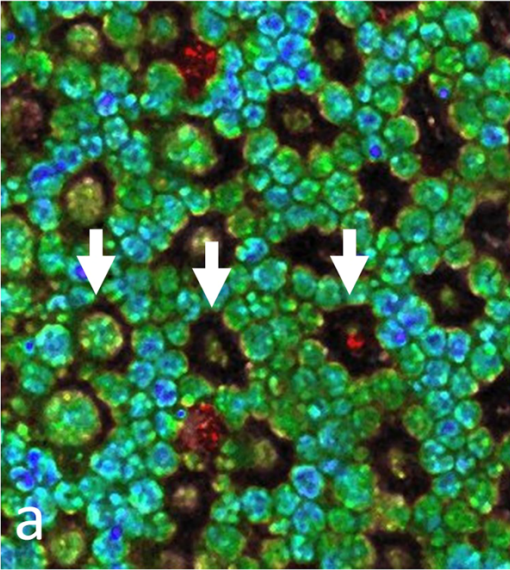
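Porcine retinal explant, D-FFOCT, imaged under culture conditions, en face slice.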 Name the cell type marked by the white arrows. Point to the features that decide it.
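Each marked profile sits within a dark surrounding zone.
Hence: cones.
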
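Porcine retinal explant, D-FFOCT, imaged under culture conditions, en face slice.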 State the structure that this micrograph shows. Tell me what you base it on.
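Cone and rod photoreceptor mosaic. Many small, closely packed round profiles fill the field. Larger profiles with dark surrounds are spaced regularly among the small ones.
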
